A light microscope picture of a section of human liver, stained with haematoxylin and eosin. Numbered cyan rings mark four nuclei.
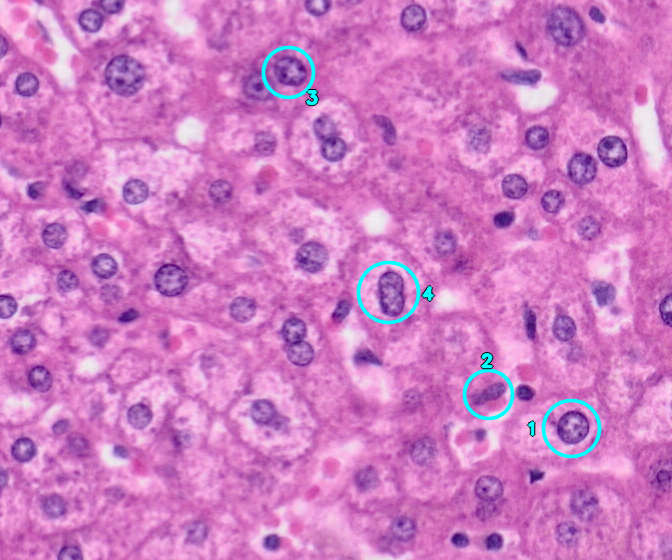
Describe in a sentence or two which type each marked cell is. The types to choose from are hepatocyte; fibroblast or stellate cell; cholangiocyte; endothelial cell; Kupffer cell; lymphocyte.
Cell 1 is a hepatocyte, cell 2 is a Kupffer cell, cell 3 is a hepatocyte and cell 4 is a hepatocyte.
